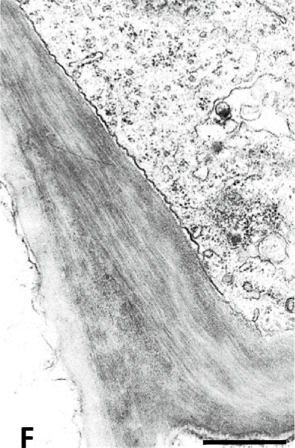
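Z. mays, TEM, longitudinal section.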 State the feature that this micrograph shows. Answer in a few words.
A: Cellulose microfibrils.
